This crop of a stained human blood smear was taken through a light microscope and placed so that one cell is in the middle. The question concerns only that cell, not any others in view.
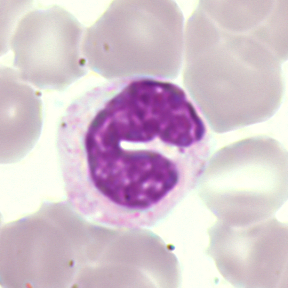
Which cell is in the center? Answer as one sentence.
The cell at the heart of this crop is a band neutrophil.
